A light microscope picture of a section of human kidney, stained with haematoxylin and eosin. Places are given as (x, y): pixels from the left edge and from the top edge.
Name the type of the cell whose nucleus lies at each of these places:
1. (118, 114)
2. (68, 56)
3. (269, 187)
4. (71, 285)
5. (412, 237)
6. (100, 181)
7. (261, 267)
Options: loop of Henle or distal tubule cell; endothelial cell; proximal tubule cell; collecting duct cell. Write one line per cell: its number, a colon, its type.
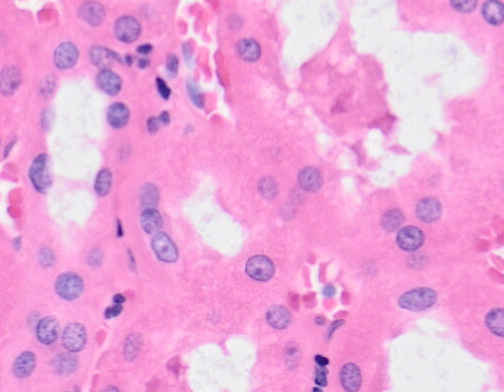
1: loop of Henle or distal tubule cell
2: loop of Henle or distal tubule cell
3: proximal tubule cell
4: loop of Henle or distal tubule cell
5: proximal tubule cell
6: loop of Henle or distal tubule cell
7: proximal tubule cell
